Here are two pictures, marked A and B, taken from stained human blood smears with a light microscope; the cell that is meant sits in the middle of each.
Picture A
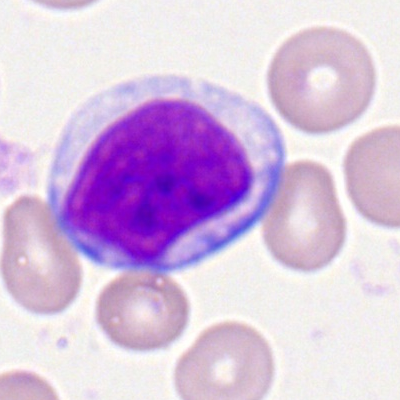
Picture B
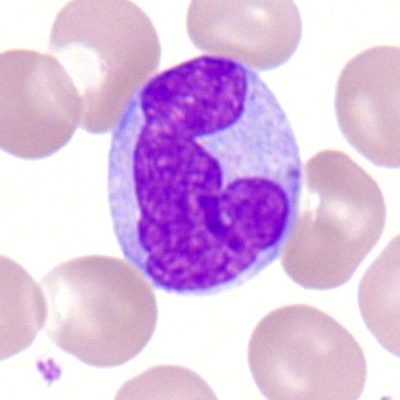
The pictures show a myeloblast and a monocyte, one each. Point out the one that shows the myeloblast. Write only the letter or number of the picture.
A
